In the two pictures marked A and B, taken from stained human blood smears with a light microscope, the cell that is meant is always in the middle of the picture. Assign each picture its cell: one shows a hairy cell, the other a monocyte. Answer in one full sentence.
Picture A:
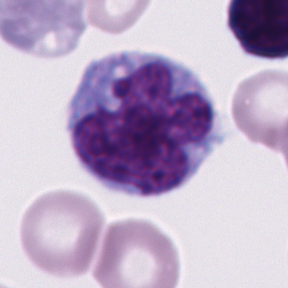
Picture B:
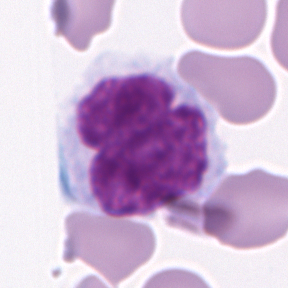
It is picture A that shows a monocyte, and picture B that shows a hairy cell.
